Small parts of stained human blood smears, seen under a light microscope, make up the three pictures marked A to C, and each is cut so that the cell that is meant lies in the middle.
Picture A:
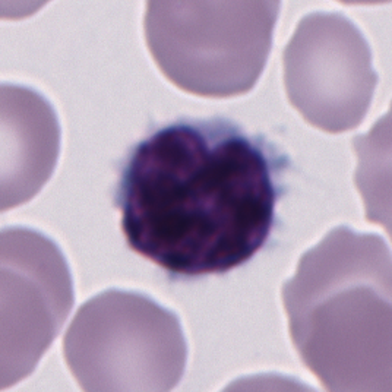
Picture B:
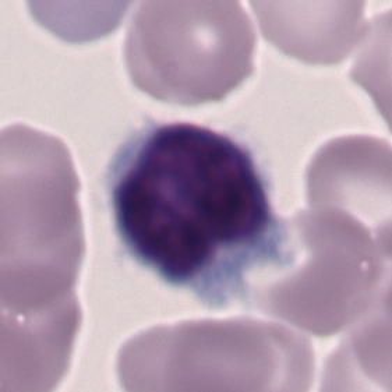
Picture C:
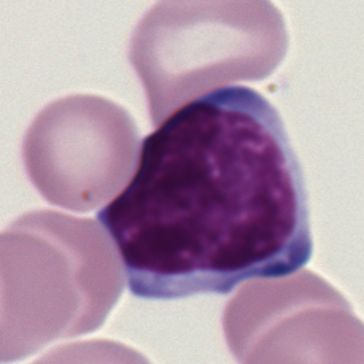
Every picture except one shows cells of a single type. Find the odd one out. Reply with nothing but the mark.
C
